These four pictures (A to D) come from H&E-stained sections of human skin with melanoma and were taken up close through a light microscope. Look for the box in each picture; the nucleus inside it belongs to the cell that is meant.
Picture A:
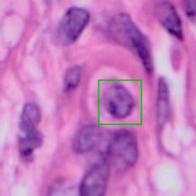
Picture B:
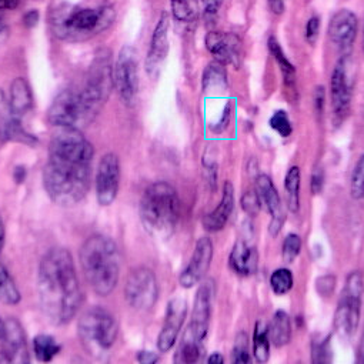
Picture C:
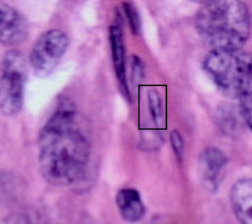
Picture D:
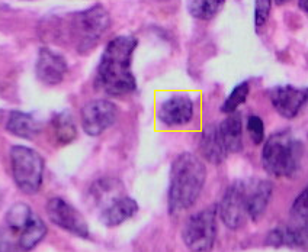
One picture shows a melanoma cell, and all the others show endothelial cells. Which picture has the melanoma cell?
D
